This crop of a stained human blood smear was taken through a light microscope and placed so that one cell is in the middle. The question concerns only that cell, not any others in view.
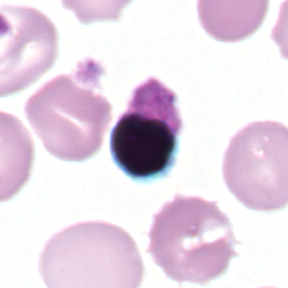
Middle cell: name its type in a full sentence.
Where the crop is centred, there is an erythroblast.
